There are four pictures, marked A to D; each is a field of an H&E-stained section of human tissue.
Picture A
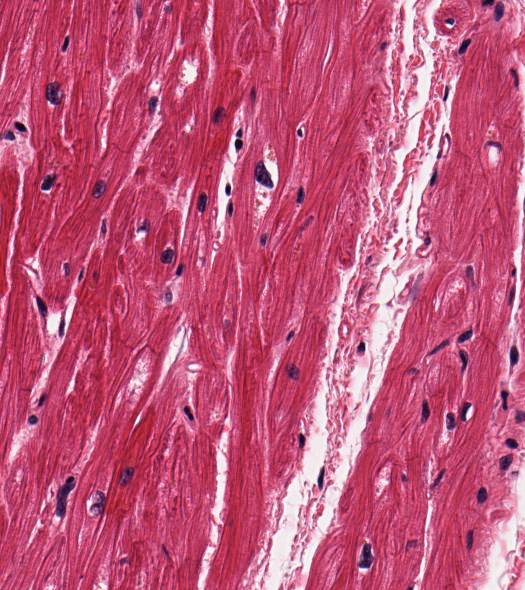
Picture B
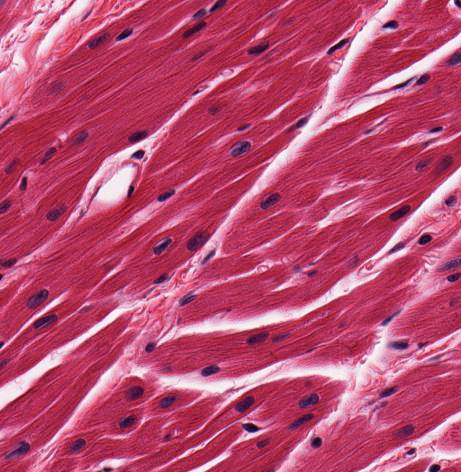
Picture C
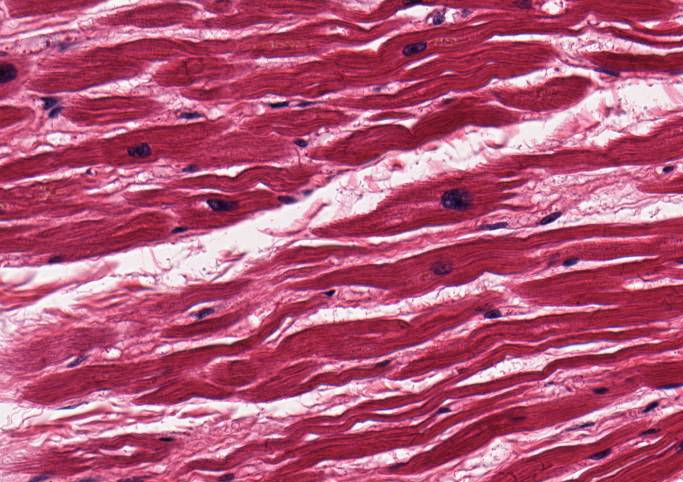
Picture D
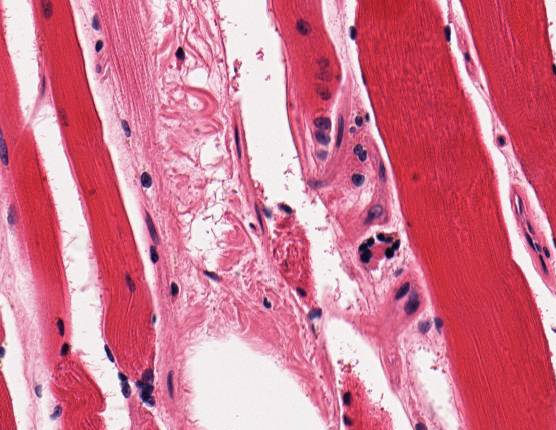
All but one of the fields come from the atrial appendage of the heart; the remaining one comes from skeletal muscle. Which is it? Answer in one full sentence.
Picture D is the field that comes from skeletal muscle.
